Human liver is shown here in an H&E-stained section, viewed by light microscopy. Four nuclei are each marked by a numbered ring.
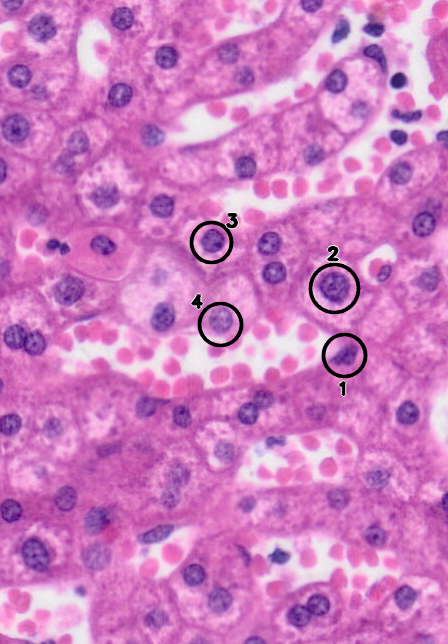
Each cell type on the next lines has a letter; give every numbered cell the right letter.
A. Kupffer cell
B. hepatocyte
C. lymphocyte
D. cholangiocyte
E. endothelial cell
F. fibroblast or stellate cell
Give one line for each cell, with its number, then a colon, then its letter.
1: E
2: B
3: B
4: B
